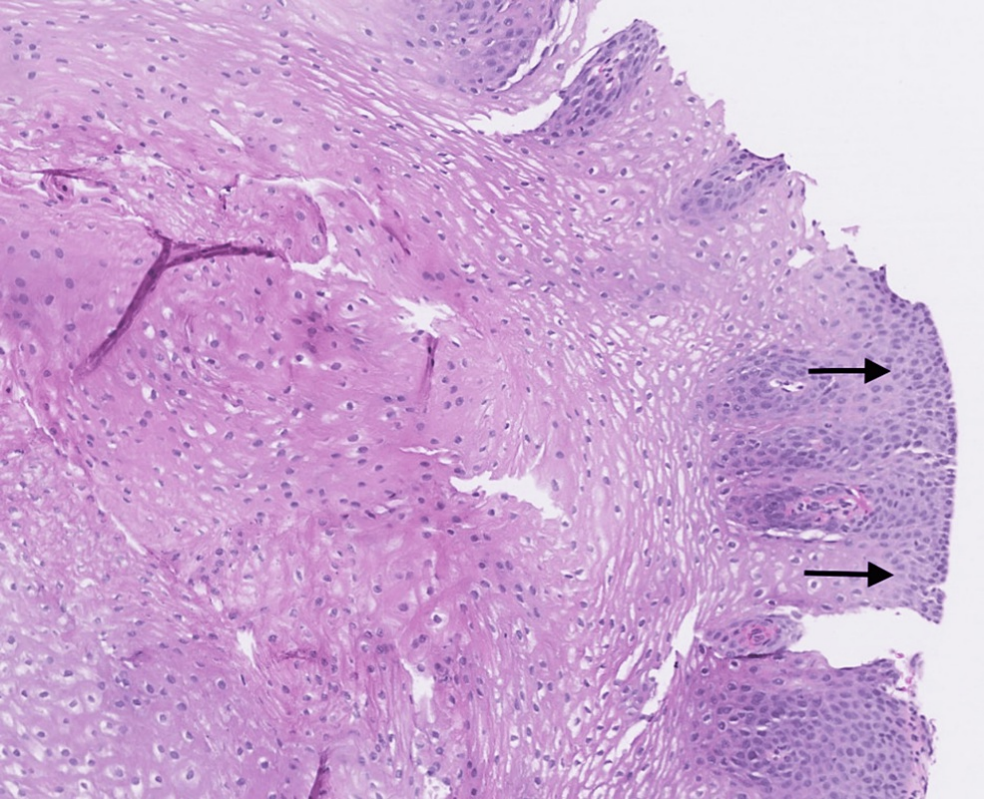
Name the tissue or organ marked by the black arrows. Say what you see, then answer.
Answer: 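Many layers of cells are stacked on top of one another. Cells toward the surface are flattened with pale pink cytoplasm and small nuclei. A darker purple zone of crowded small cells forms the layer the arrows point to. On this evidence: squamous epithelium.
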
